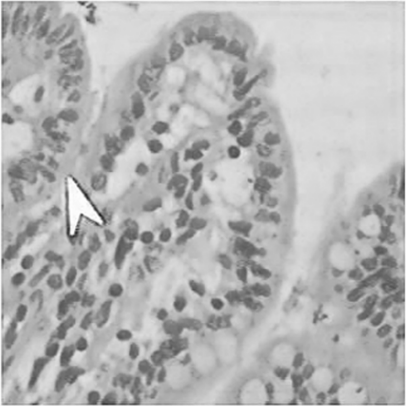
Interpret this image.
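This is small intestinal mucosa with intestinal villi projecting into the lumen, each covered by a single layer of tall columnar epithelial cells with elongated, darkly stained nuclei arranged in a row. Pale, rounded vacuole-like cells are interspersed in the epithelium, and the villus core holds loosely arranged cells of the lamina propria.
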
